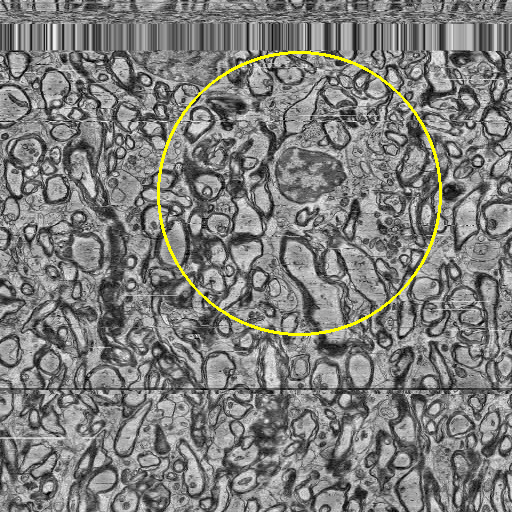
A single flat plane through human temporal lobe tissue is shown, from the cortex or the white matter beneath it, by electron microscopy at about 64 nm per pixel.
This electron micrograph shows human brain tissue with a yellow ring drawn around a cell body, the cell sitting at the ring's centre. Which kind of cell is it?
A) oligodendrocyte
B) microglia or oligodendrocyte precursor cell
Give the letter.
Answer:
B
